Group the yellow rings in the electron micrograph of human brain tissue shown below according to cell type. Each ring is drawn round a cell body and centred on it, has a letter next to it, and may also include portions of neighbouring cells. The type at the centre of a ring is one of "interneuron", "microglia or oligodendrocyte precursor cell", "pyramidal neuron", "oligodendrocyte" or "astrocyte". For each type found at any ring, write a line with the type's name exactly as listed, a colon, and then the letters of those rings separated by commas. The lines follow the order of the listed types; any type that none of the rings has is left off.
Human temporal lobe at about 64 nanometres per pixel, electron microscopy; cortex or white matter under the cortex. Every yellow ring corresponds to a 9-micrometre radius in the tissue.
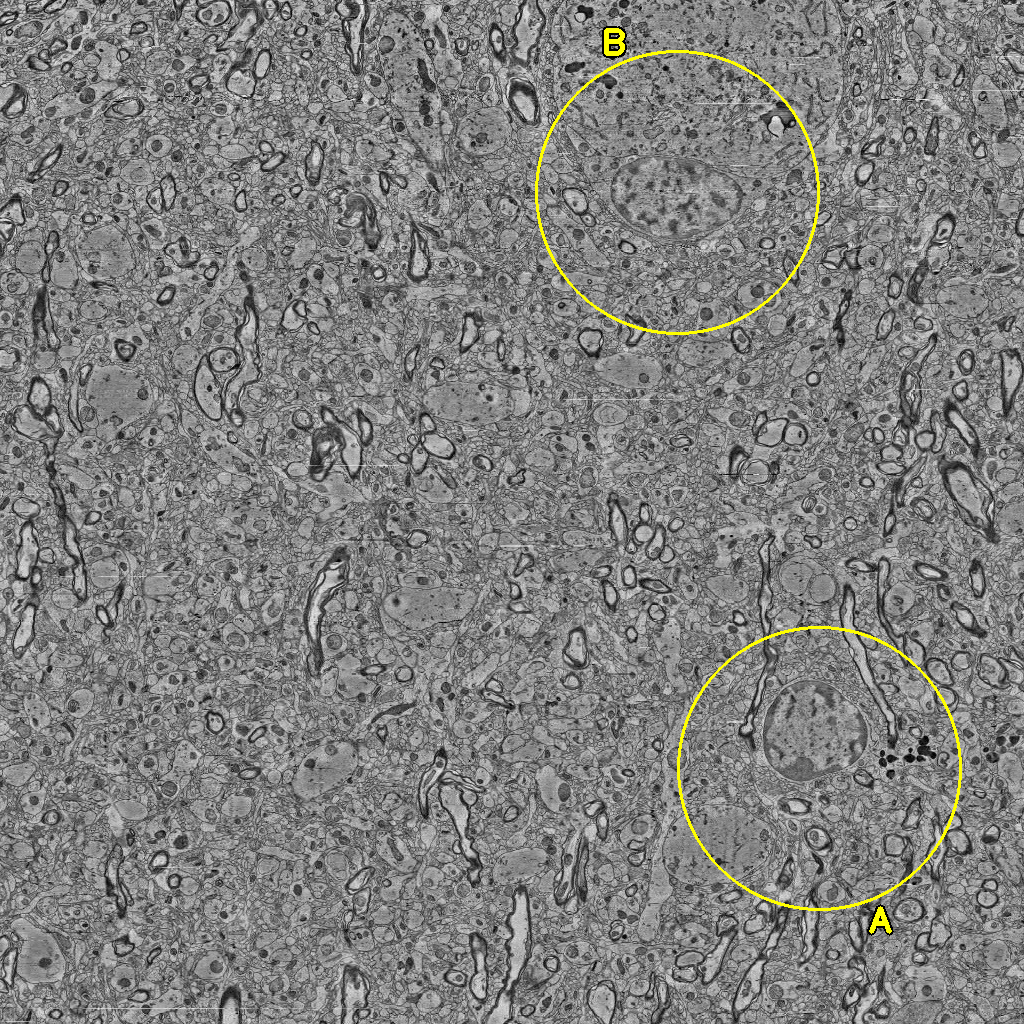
microglia or oligodendrocyte precursor cell: A
oligodendrocyte: B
